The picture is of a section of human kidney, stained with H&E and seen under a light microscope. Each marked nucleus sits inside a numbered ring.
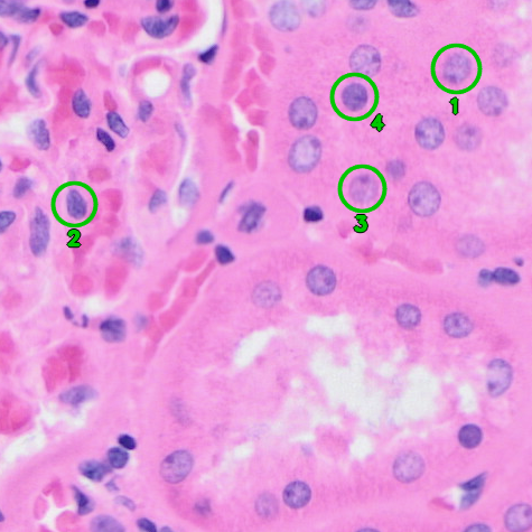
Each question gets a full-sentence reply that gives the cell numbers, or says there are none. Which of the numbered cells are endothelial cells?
Cell 2 is an endothelial cell; every other numbered cell is something else.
